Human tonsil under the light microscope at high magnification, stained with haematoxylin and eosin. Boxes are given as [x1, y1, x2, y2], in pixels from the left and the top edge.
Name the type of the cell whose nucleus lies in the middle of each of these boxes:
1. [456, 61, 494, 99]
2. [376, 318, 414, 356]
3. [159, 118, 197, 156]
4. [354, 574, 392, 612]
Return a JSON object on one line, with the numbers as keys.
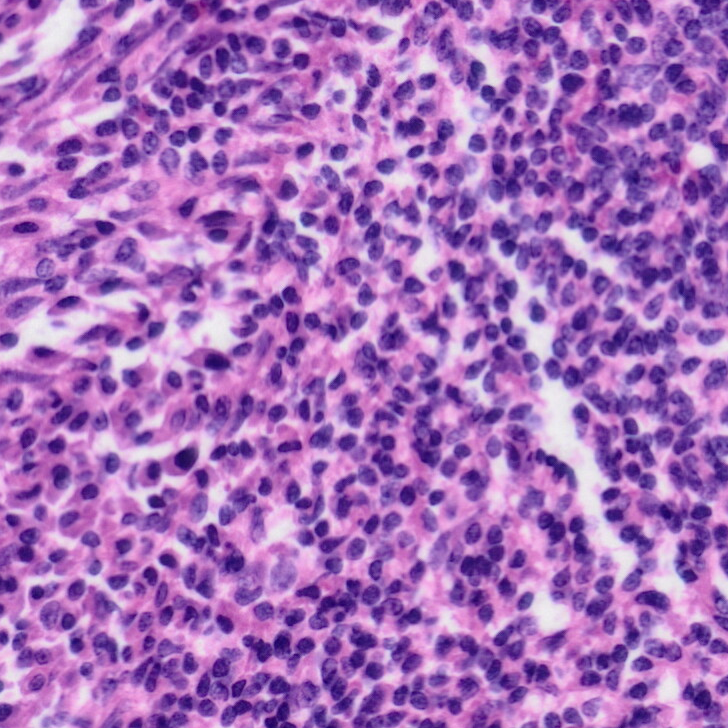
{"1": "small lymphocyte", "2": "proliferating B cell", "3": "small lymphocyte", "4": "small lymphocyte"}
